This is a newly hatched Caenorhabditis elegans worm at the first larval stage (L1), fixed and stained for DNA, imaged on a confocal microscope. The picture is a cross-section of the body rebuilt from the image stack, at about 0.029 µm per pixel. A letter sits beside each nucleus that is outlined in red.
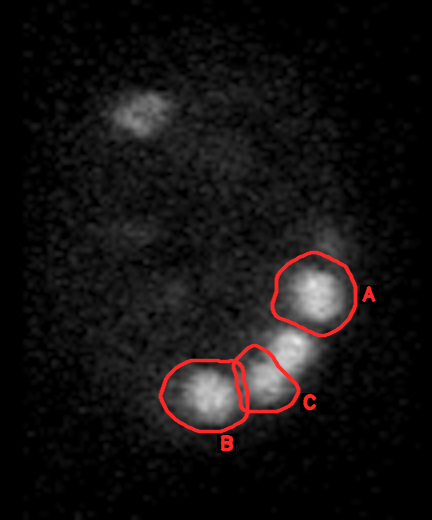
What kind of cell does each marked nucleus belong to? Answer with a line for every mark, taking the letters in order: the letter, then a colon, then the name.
A: neuron
B: neuron
C: body wall muscle cell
